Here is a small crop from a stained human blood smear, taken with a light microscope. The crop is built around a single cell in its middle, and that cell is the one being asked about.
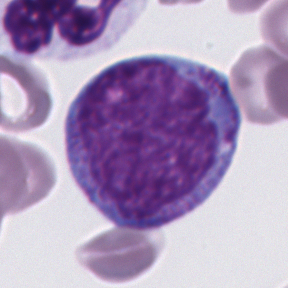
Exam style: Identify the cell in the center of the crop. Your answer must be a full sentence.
Occupying the centre of the crop is a promyelocyte.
